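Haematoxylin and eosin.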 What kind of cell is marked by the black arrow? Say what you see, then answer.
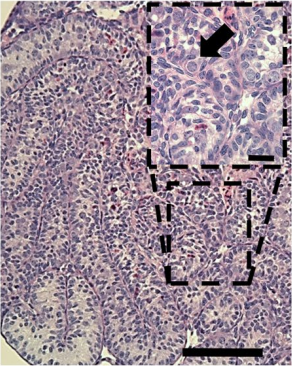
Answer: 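The arrow in the inset points to a rounded cell with a round nucleus within a cord. The marked cell lies among smaller elongated nuclei. The answer: germ cells.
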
